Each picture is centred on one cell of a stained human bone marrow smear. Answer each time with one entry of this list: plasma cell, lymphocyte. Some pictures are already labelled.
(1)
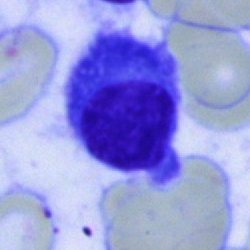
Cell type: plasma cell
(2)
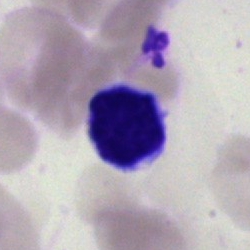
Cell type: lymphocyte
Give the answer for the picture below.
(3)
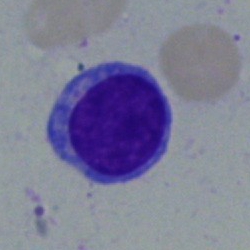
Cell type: lymphocyte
